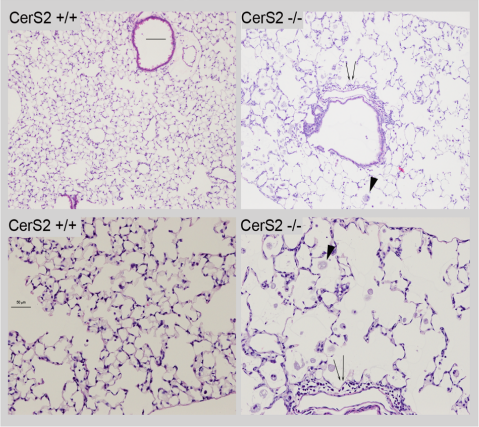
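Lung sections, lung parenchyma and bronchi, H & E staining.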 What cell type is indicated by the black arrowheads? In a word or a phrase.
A: foamy macrophage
